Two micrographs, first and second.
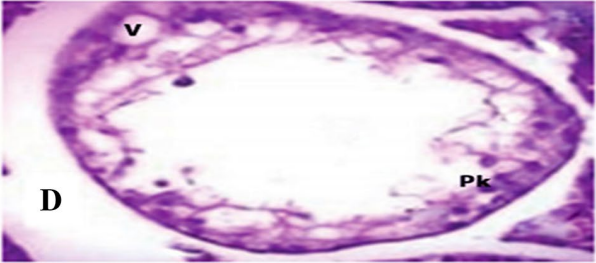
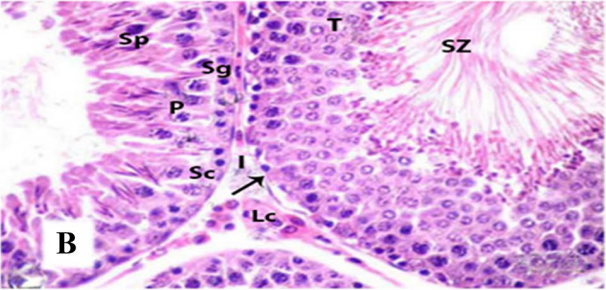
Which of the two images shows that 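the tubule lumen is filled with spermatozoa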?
The second image.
